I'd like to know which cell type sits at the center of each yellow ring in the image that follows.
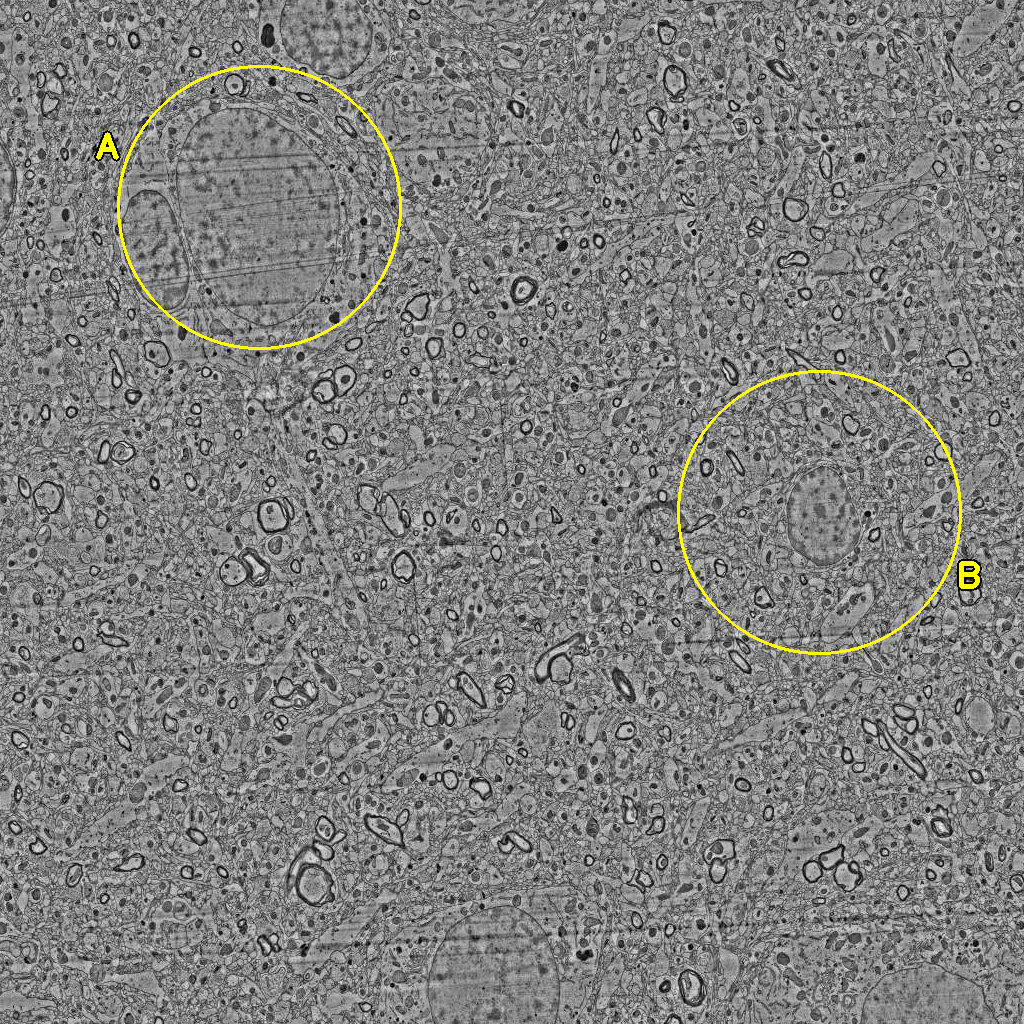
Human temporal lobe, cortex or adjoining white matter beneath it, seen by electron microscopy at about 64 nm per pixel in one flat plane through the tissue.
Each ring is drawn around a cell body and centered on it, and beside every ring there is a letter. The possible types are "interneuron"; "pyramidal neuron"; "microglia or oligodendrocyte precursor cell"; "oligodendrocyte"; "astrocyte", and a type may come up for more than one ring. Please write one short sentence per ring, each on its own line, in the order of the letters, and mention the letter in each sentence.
The cell at the center of ring A is a pyramidal neuron.
The cell at the center of ring B is a microglial cell or oligodendrocyte precursor cell.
